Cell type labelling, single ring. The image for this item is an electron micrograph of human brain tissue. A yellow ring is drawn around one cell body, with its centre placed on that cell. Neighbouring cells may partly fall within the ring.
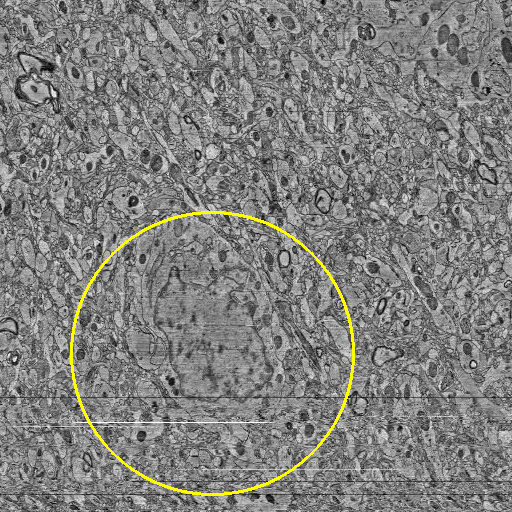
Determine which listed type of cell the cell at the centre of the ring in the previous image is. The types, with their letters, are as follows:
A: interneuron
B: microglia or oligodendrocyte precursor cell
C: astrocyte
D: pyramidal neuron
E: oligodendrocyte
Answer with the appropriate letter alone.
A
